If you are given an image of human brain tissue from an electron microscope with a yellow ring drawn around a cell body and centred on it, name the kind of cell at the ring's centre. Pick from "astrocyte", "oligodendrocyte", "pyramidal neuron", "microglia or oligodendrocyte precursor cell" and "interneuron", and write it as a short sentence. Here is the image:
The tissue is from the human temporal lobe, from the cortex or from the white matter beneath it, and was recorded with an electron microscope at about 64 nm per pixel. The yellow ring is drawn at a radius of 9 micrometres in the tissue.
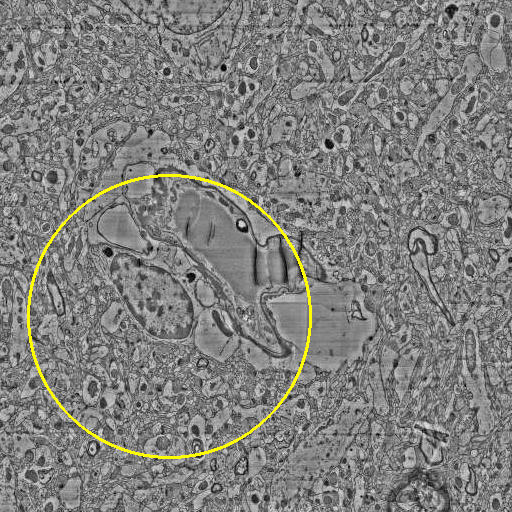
The cell at the ring's centre is a microglial cell or oligodendrocyte precursor cell.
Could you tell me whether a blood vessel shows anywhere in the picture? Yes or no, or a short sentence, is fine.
Yes.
